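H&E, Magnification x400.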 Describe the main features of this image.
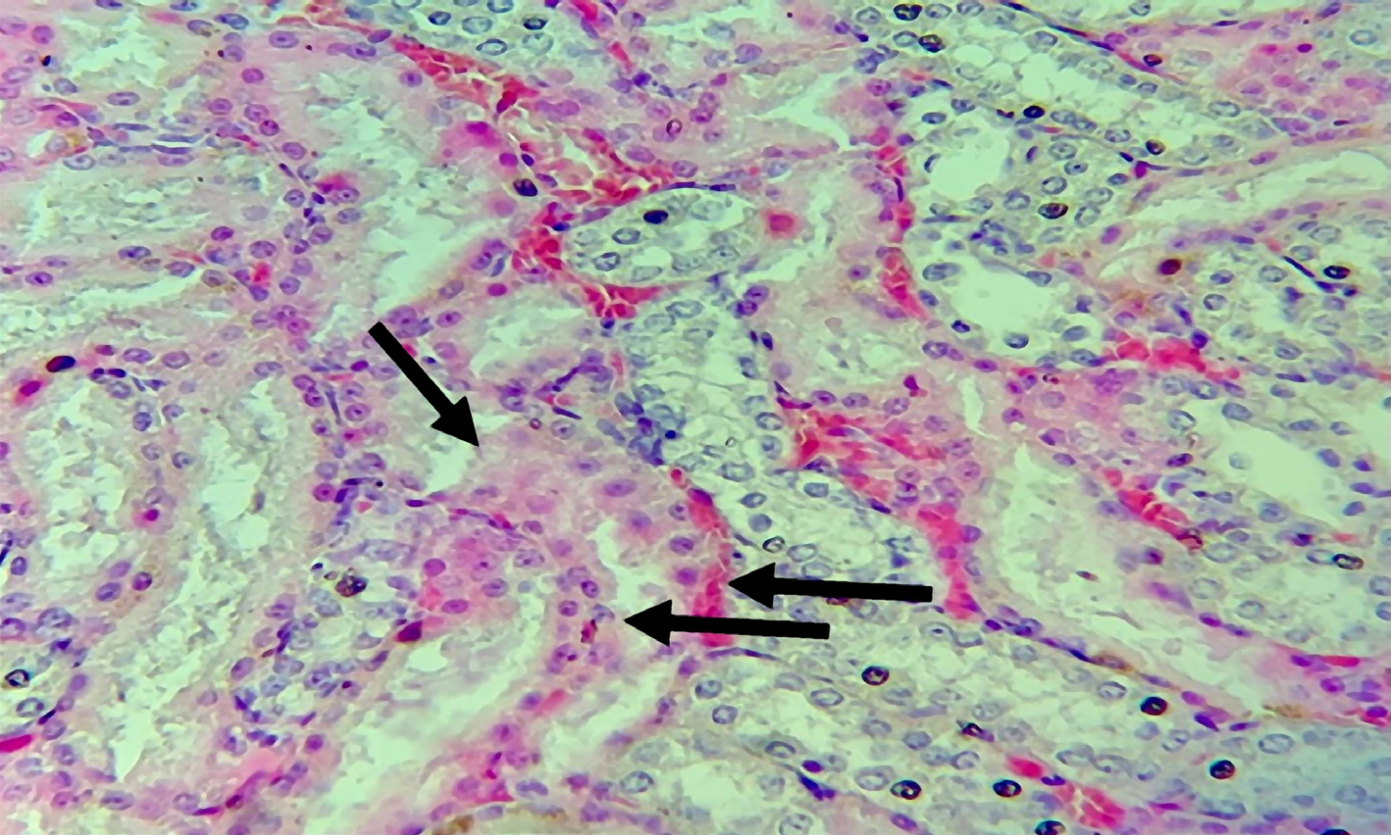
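Tubules lined by swollen epithelial cells, cut in various planes. The cells have round, centrally placed nuclei and mostly pale, finely granular or vacuolated cytoplasm. The enlarged cells narrow the tubular lumina, which hold pale material. In the centre there is a group of cells whose cytoplasm stains a denser pink than that of their neighbours. Between the tubules lie thin strands of interstitium. These contain narrow spaces packed with bright red blood cells and scattered small, dark-staining nuclei. A few cells with dark, condensed nuclei are also seen among the epithelium.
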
